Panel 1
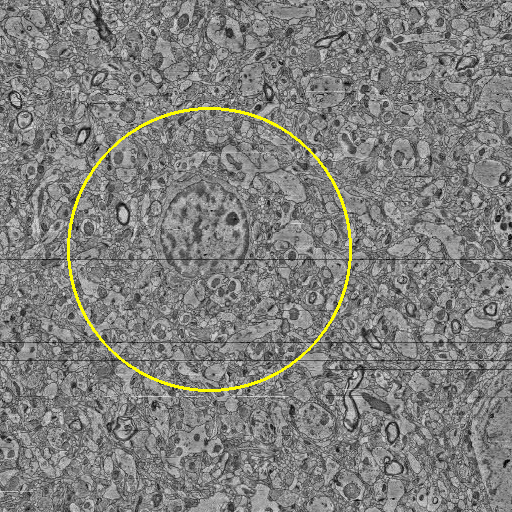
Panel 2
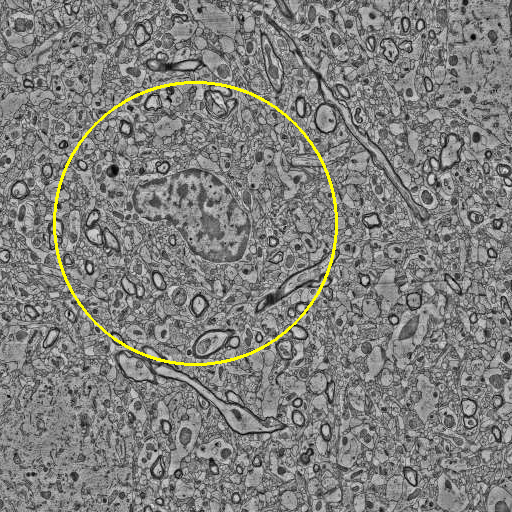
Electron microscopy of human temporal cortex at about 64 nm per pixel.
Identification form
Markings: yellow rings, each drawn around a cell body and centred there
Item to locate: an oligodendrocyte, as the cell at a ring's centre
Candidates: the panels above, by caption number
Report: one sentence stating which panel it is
It is Panel 1.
